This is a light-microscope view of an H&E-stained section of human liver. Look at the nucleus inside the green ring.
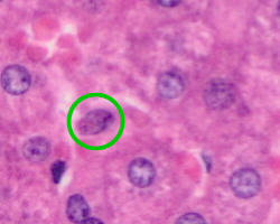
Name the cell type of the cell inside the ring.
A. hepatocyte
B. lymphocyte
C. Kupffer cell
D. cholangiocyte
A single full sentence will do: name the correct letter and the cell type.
Option C stands as correct, with the cell inside the ring being a Kupffer cell.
